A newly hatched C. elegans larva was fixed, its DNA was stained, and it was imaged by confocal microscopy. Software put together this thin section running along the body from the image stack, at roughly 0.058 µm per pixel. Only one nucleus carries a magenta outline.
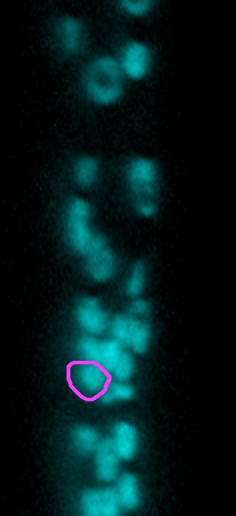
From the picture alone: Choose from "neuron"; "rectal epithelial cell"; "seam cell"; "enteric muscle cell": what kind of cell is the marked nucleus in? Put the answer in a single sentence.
It belongs to a neuron.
